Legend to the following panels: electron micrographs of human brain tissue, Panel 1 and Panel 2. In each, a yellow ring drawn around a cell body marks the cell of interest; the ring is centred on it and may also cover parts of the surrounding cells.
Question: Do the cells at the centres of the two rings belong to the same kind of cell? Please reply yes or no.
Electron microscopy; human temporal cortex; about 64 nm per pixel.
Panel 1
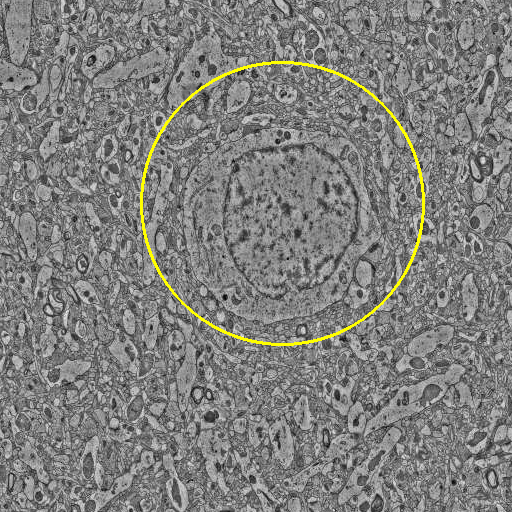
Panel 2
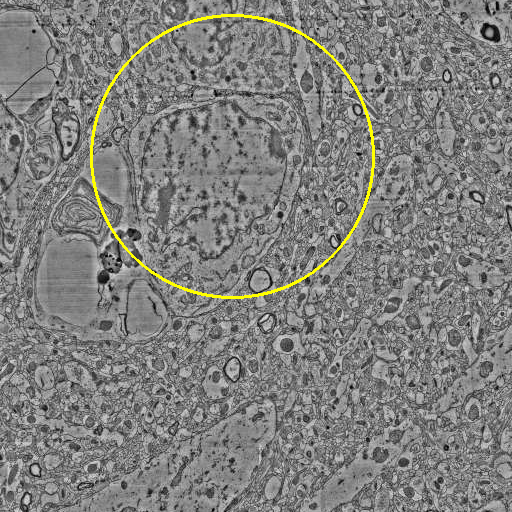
yes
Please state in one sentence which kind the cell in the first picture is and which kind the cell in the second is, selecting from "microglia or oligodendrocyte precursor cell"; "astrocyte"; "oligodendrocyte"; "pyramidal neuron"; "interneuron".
Both the first and the second picture show an interneuron in the ring.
